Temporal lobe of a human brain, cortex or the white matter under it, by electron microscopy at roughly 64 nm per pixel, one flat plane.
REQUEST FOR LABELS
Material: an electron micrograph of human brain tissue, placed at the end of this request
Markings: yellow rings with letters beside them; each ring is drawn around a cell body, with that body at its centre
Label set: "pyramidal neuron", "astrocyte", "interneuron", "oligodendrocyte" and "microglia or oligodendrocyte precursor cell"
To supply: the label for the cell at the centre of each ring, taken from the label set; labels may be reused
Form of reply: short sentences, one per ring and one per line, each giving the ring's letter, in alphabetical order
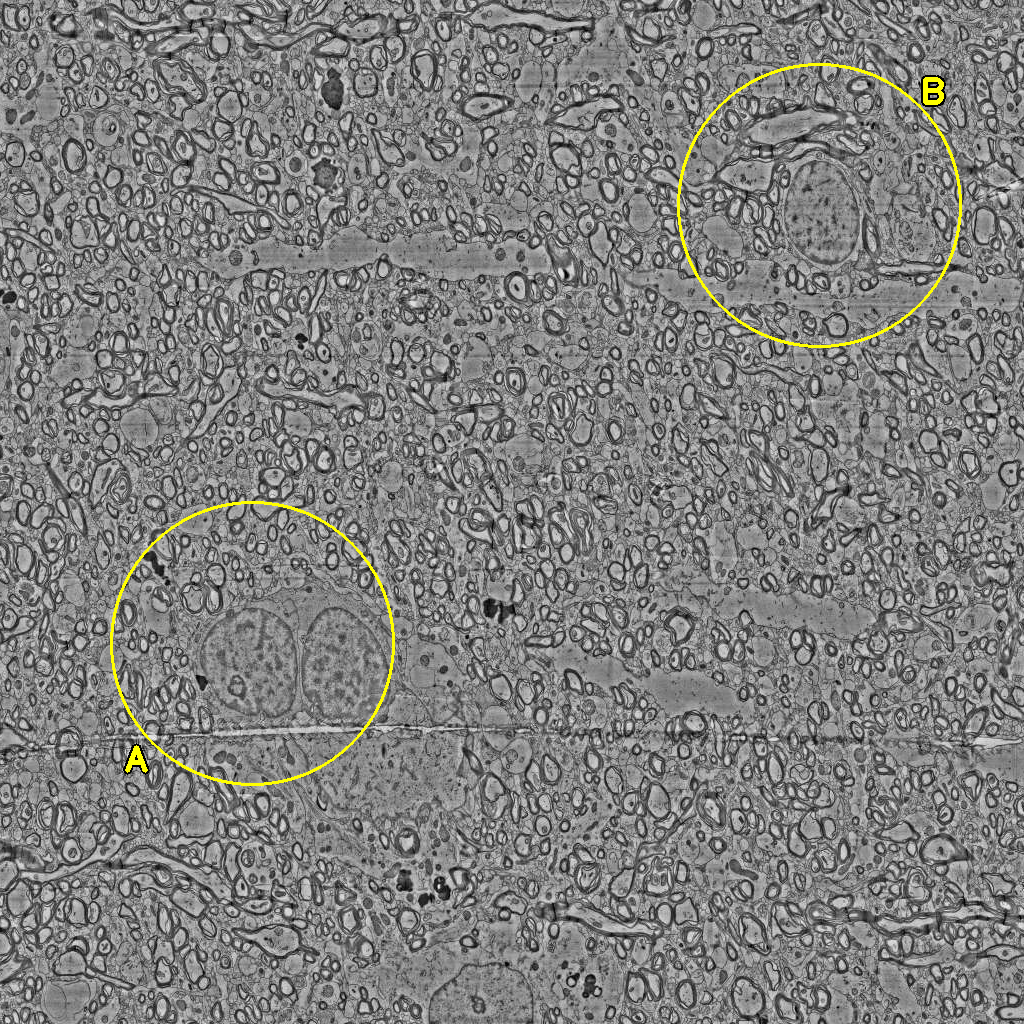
Ring A: the cell in the middle is an oligodendrocyte.
Ring B: the cell in the middle is a microglial cell or oligodendrocyte precursor cell.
